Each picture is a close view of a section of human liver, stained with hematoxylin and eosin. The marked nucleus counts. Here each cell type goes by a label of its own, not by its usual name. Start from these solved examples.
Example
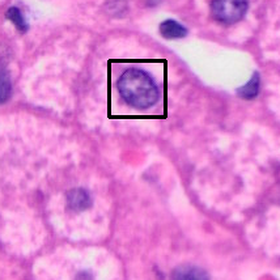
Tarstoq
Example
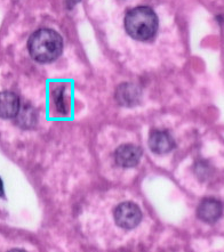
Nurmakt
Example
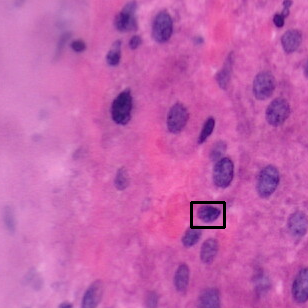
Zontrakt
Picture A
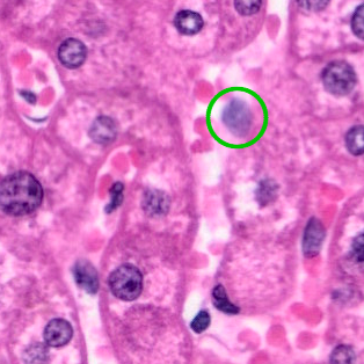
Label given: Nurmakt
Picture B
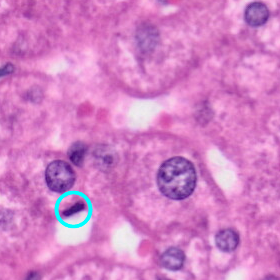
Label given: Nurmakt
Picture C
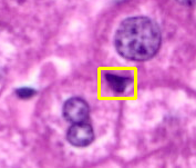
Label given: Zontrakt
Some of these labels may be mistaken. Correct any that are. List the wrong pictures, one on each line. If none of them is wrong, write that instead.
No label is wrong.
